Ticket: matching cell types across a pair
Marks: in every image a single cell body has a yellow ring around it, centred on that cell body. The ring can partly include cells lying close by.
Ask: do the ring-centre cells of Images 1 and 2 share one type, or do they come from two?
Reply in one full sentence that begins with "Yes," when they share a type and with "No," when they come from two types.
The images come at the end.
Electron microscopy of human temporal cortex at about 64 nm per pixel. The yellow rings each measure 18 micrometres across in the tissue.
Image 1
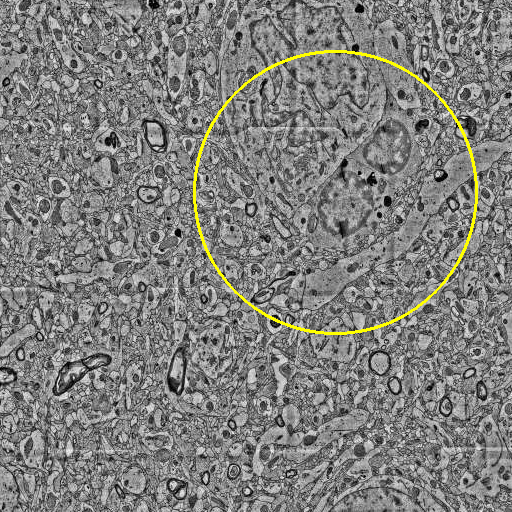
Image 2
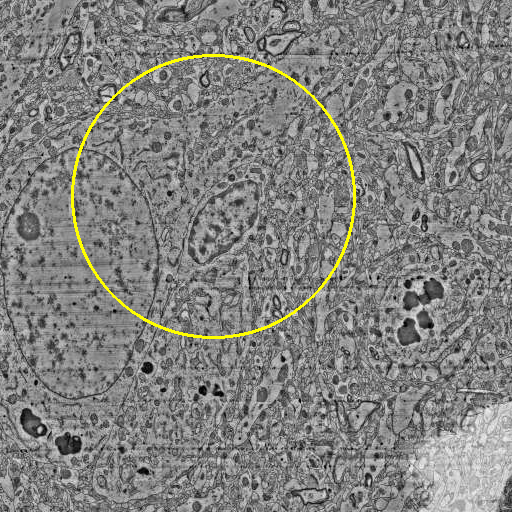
No, the cells in the centres of the rings in Image 1 and Image 2 come from two types.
